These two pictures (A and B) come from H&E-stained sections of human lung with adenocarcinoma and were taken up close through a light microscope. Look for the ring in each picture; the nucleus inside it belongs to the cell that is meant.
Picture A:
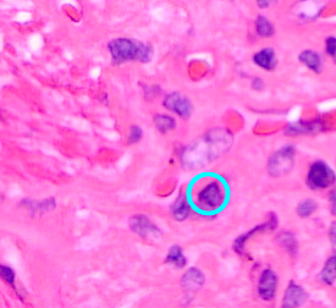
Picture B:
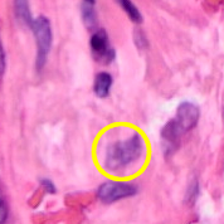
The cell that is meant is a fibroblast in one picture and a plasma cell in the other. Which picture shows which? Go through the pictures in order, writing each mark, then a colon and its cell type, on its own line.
A: plasma cell
B: fibroblast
